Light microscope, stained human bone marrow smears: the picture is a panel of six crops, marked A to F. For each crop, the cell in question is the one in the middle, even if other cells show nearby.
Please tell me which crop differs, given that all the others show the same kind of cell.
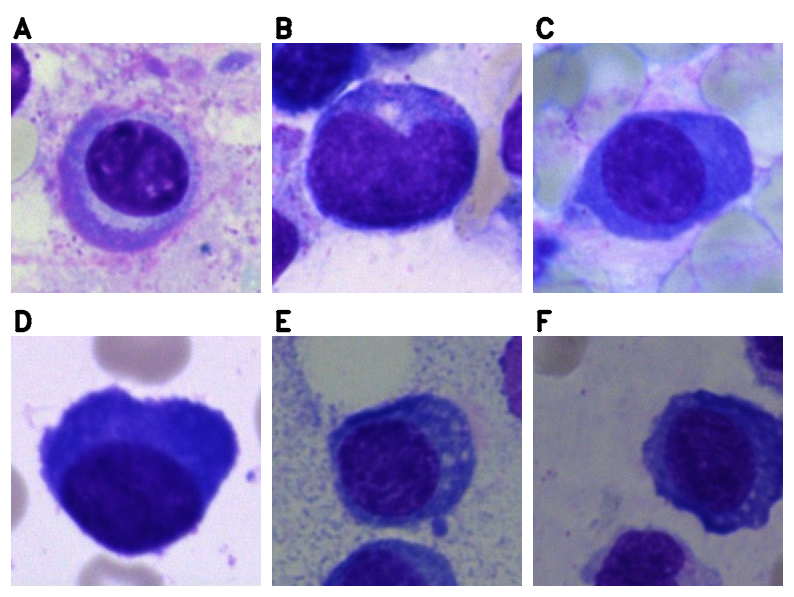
B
